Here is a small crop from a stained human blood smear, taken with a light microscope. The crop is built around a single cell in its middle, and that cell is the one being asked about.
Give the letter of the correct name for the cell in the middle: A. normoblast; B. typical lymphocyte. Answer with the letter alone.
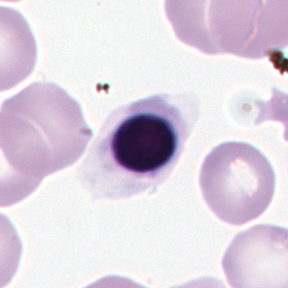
A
